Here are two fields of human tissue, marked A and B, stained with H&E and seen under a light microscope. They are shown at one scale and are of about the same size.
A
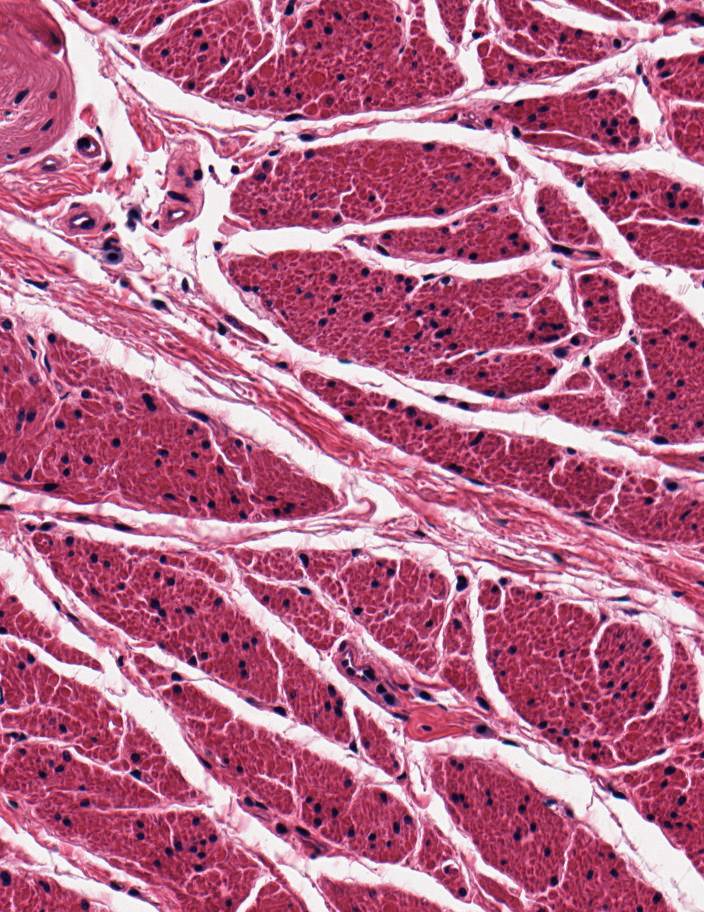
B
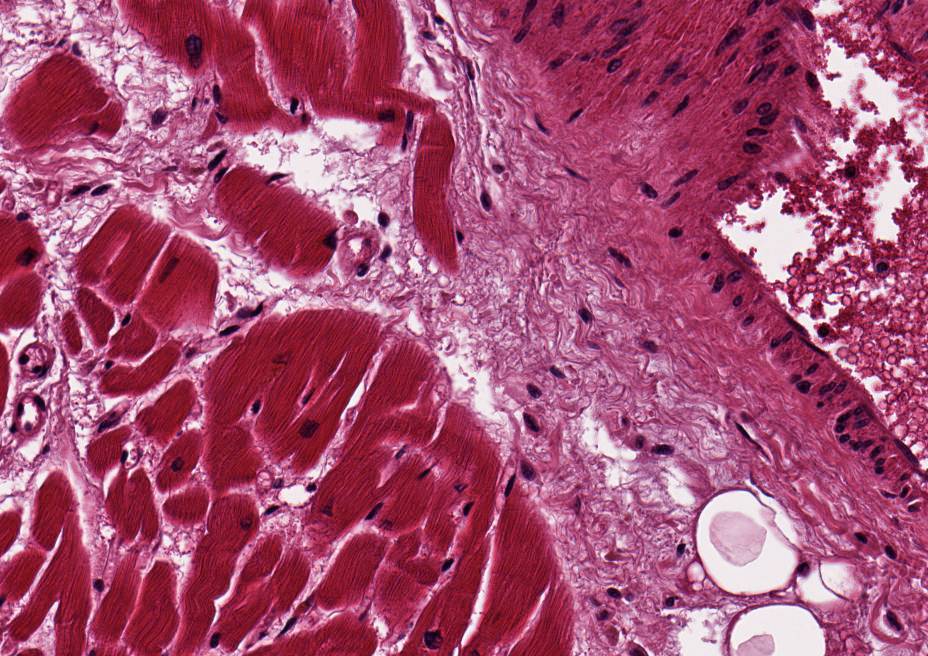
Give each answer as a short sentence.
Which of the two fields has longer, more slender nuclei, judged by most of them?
Longer, more slender nuclei lie in picture B.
